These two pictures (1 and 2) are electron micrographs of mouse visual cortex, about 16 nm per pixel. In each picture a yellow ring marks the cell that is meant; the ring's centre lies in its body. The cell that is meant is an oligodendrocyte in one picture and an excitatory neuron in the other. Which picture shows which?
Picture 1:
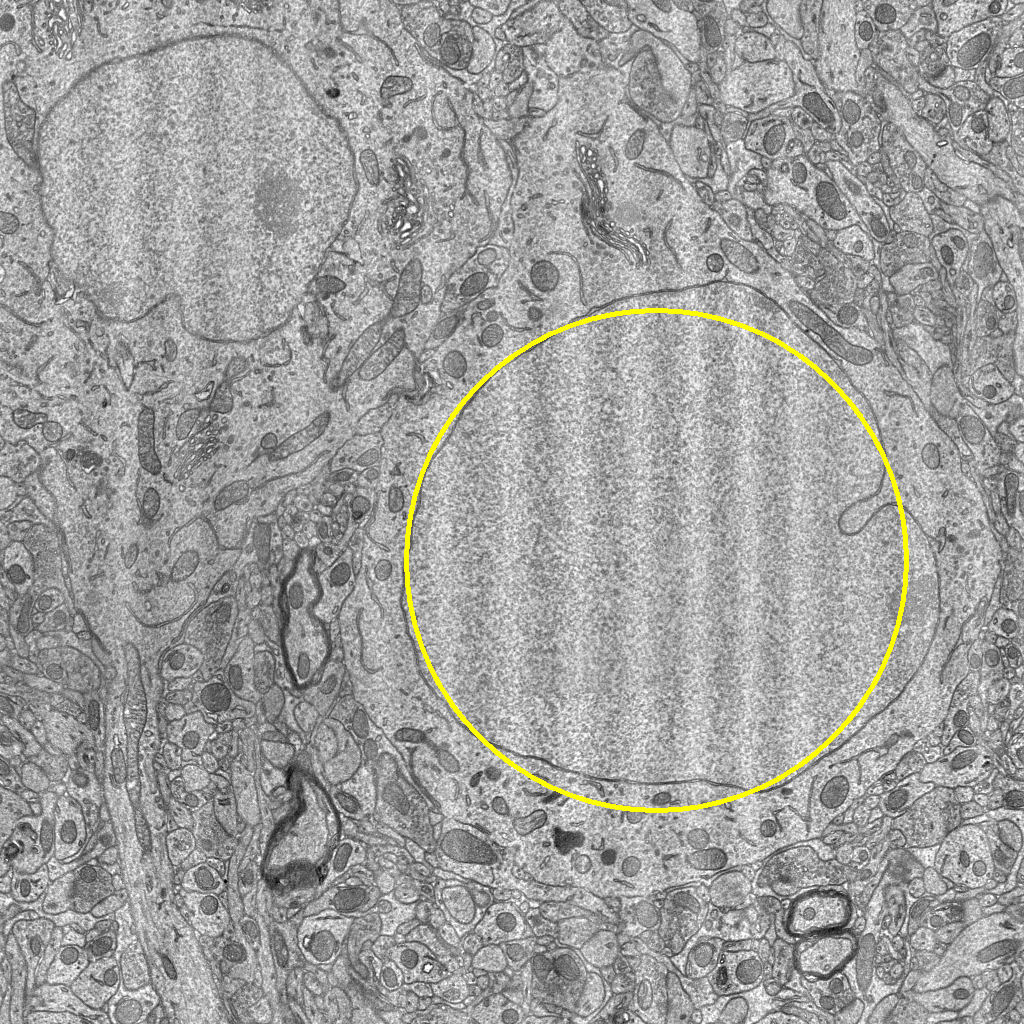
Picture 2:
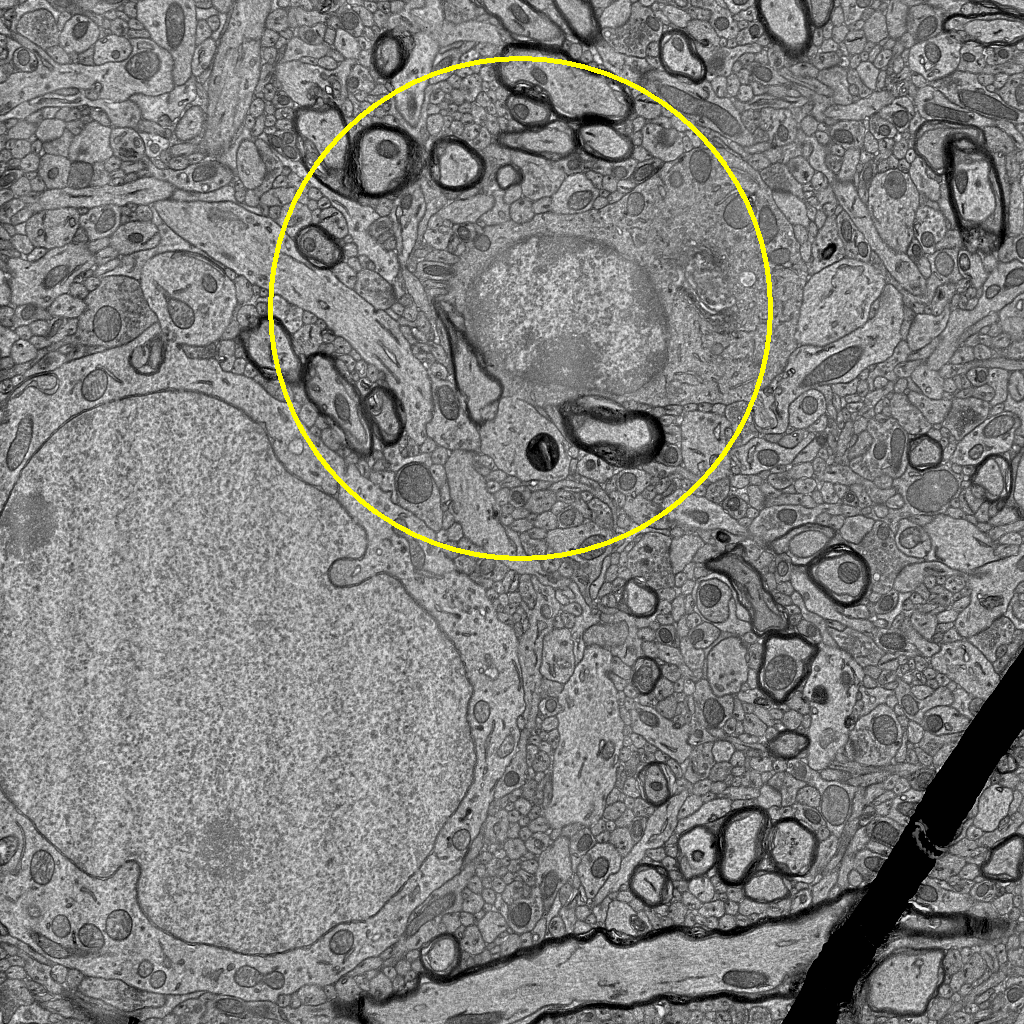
The cell in picture 1 is an excitatory neuron, and the one in picture 2 is an oligodendrocyte.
